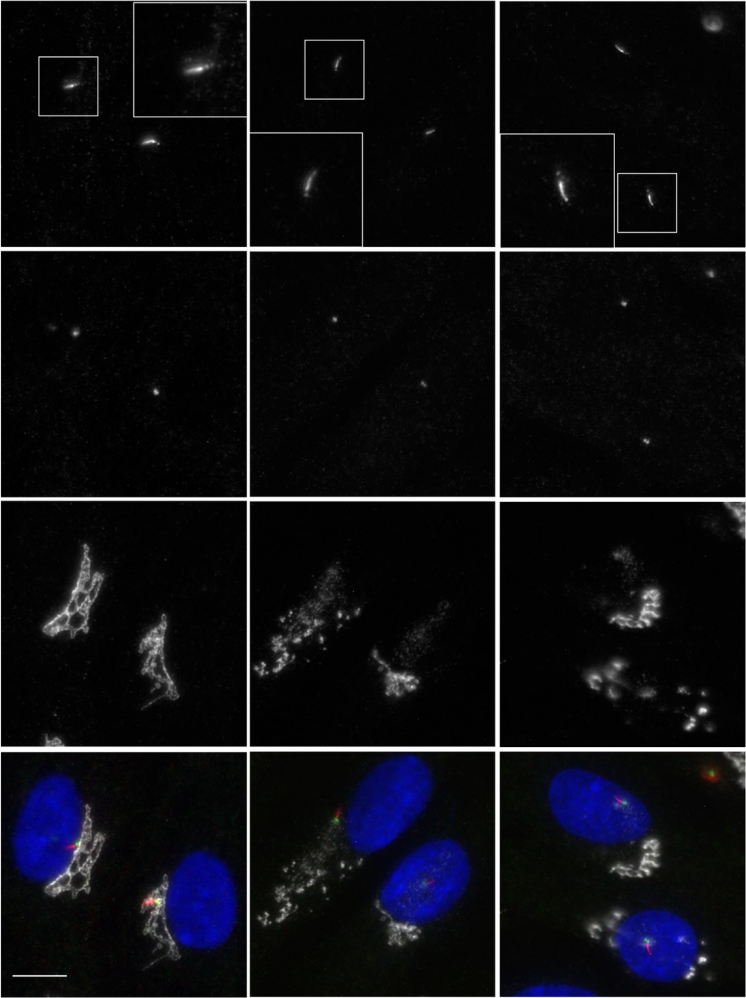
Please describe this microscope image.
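Cells, each with an oval blue nucleus, carry a single primary cilium seen as a short red rod arising from a green dot, the basal body, close to the nucleus. In the left column the Golgi is a compact lacy ribbon lying right beside the cilium base, whereas in the other two columns it is broken into scattered beads and clumps that lie farther from it, yet cilia are still present.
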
